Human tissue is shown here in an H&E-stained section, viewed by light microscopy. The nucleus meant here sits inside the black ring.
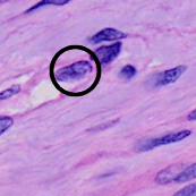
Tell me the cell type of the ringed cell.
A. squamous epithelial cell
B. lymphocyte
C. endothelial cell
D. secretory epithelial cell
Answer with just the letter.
C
